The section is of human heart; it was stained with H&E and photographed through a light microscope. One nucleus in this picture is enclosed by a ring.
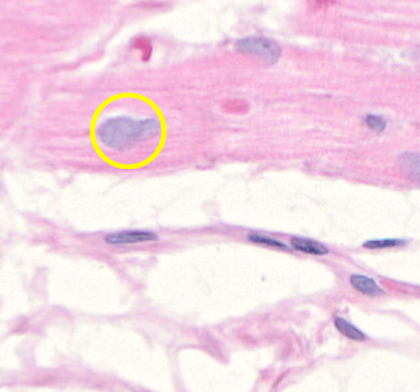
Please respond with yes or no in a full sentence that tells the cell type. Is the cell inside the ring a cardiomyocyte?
Yes, the cell inside the ring is categorized as a cardiomyocyte in this section.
